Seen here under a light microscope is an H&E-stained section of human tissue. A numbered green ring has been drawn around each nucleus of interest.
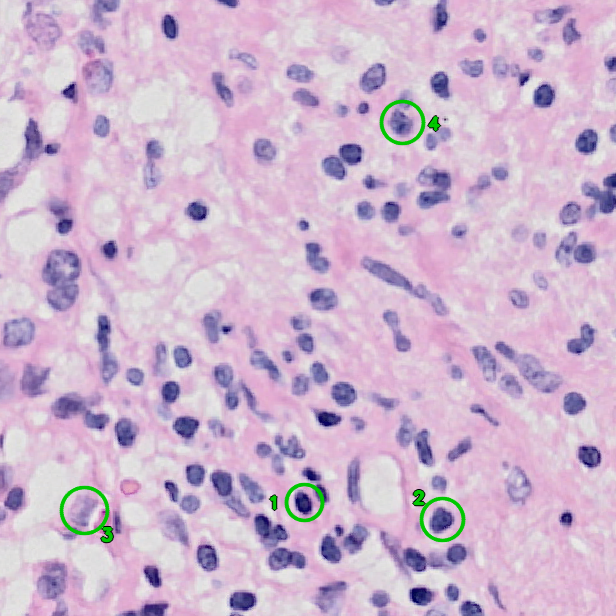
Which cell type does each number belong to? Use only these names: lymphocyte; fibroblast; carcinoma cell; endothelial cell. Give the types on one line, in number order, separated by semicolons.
lymphocyte; lymphocyte; endothelial cell; lymphocyte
